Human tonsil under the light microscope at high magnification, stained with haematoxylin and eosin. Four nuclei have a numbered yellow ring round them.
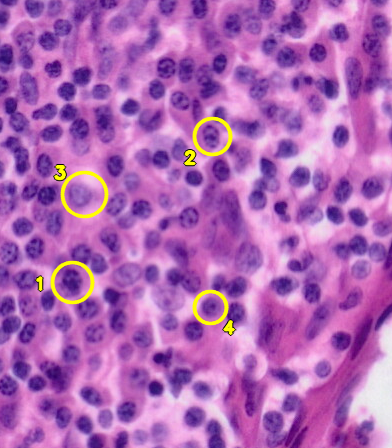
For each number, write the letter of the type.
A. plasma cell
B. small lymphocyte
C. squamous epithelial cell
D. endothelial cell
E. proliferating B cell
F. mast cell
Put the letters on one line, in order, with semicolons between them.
A; A; D; A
